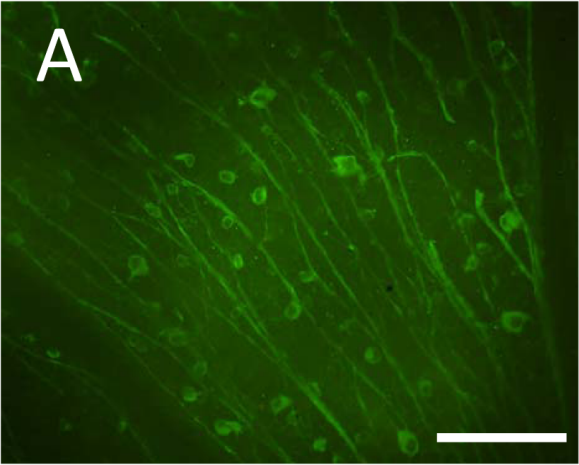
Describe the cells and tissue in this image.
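Retinal ganglion cells in a flat-viewed retina, their round to oval cell bodies scattered singly across the field and outlined in green. Thin green axons run in long parallel strands diagonally across the field, passing between and from the cell bodies. The cell bodies are unevenly spaced with gaps of dark background between them.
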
